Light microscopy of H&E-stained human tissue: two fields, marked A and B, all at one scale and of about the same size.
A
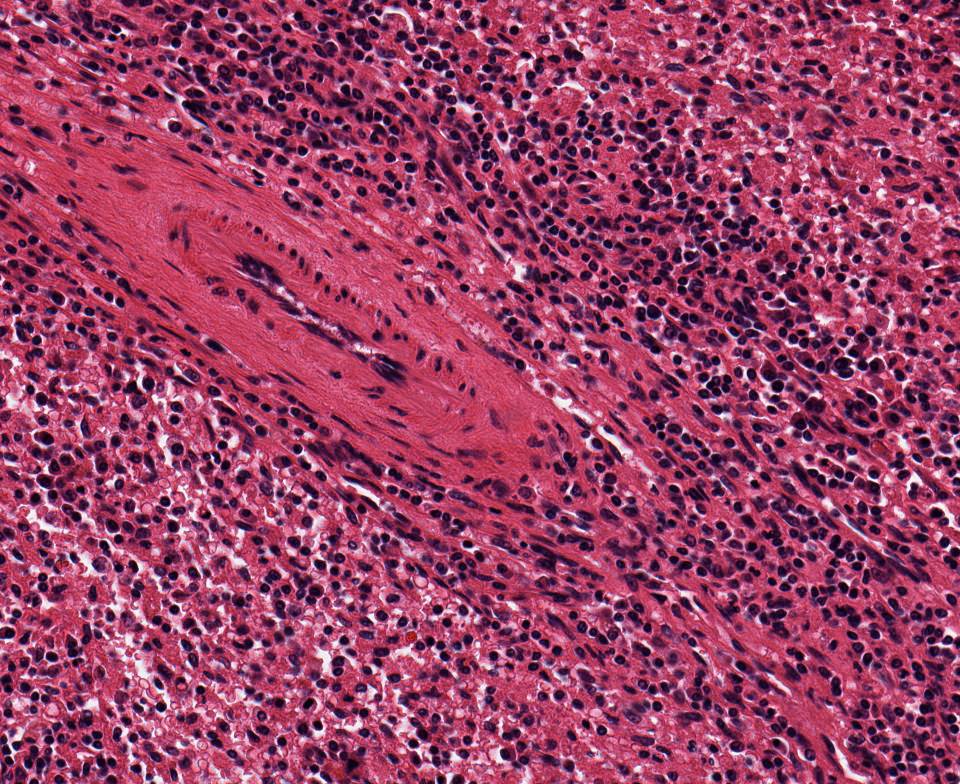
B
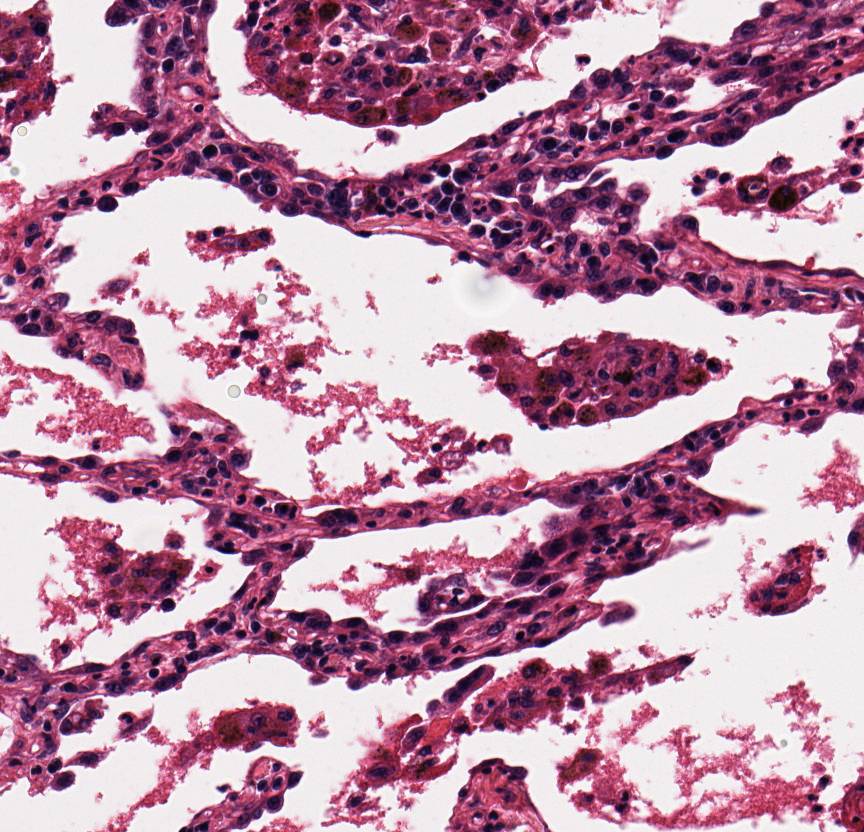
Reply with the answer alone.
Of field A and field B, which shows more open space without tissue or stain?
B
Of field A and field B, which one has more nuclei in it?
A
